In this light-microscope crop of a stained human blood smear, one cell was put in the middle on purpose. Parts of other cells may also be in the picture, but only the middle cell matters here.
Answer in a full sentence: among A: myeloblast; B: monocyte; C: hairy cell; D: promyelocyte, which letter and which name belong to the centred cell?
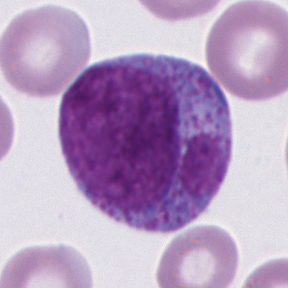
Identification: the cell in the middle is a promyelocyte, matching option D.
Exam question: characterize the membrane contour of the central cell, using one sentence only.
The edge of the cell is unbroken and smooth, bearing no projections.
